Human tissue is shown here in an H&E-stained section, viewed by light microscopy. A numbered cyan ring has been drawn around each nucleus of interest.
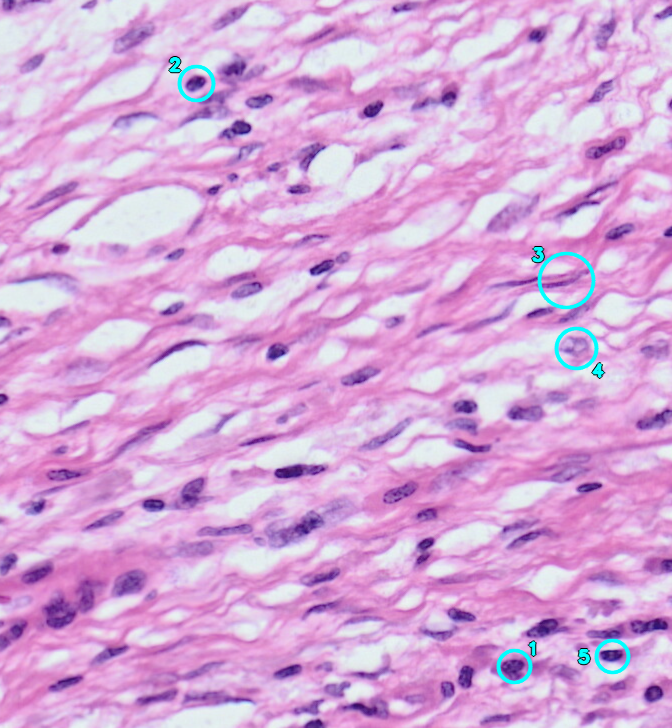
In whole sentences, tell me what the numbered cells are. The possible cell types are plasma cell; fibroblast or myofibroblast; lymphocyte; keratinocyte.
Cells 1 and 5 are plasma cells. Cell 2 is a lymphocyte. Cells 3 and 4 are fibroblasts or myofibroblasts.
